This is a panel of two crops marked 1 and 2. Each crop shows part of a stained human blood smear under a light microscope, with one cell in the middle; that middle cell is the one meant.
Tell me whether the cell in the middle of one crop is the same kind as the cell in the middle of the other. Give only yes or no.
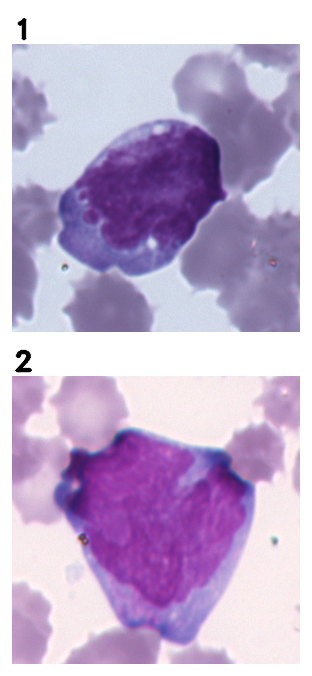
yes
